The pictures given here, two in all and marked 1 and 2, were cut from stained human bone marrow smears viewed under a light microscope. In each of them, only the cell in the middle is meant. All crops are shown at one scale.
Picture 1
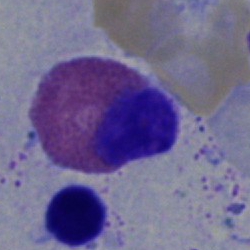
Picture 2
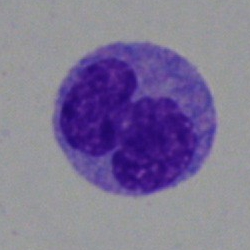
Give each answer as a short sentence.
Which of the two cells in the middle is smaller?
Smaller is the cell in picture 1, and the other is about 1.5 times as large in area.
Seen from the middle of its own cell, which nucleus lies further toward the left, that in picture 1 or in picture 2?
The nucleus in picture 2 lies further toward the left of its cell.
